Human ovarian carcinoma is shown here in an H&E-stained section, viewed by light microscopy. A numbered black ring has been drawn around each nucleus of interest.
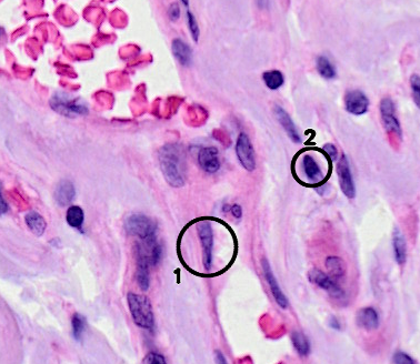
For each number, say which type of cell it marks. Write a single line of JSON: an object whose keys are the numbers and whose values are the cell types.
{"1": "endothelial cell", "2": "lymphocyte"}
